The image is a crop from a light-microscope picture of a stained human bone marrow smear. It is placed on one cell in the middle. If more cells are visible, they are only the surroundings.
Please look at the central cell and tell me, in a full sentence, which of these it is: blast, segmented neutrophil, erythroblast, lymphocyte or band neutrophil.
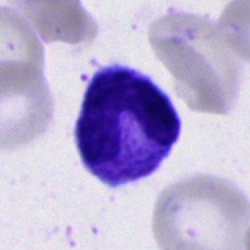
Classified as a band neutrophil is the cell in the middle of this crop.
